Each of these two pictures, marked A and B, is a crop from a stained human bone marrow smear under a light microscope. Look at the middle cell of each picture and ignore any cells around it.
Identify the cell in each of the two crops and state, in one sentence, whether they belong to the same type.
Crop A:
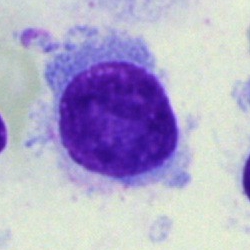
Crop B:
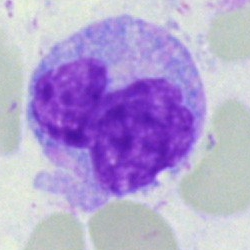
No, it is crop A that shows a hairy cell, and crop B that shows a monocyte.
